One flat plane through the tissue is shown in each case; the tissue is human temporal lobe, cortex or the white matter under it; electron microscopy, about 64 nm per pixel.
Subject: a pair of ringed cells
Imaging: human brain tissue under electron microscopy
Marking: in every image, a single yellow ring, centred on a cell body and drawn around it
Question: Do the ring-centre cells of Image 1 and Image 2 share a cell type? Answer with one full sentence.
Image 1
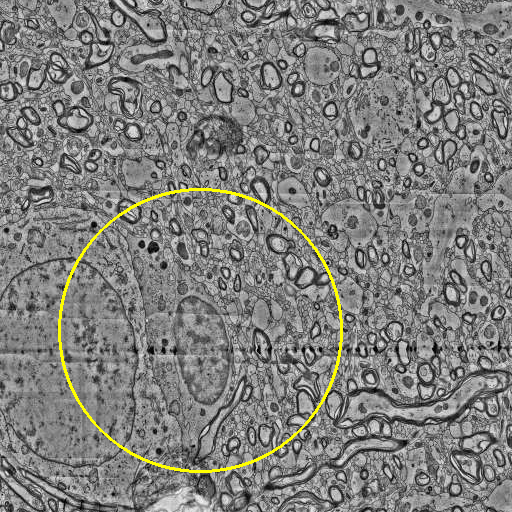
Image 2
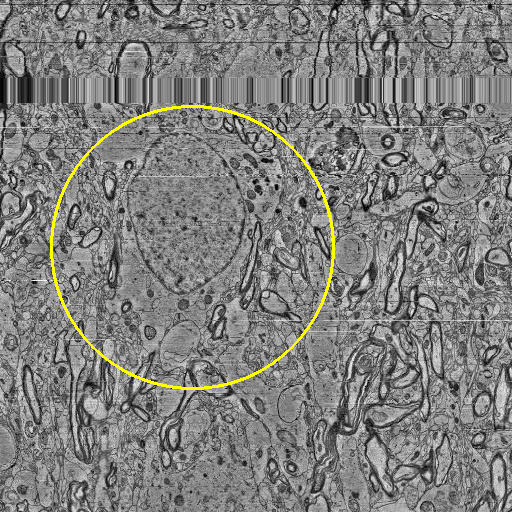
No, at the ring centres in the images sit cells of two separate types.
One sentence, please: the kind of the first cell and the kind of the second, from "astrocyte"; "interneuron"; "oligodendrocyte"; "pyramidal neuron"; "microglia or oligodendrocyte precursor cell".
The ring in the first picture surrounds an oligodendrocyte, and the ring in the second surrounds an astrocyte.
